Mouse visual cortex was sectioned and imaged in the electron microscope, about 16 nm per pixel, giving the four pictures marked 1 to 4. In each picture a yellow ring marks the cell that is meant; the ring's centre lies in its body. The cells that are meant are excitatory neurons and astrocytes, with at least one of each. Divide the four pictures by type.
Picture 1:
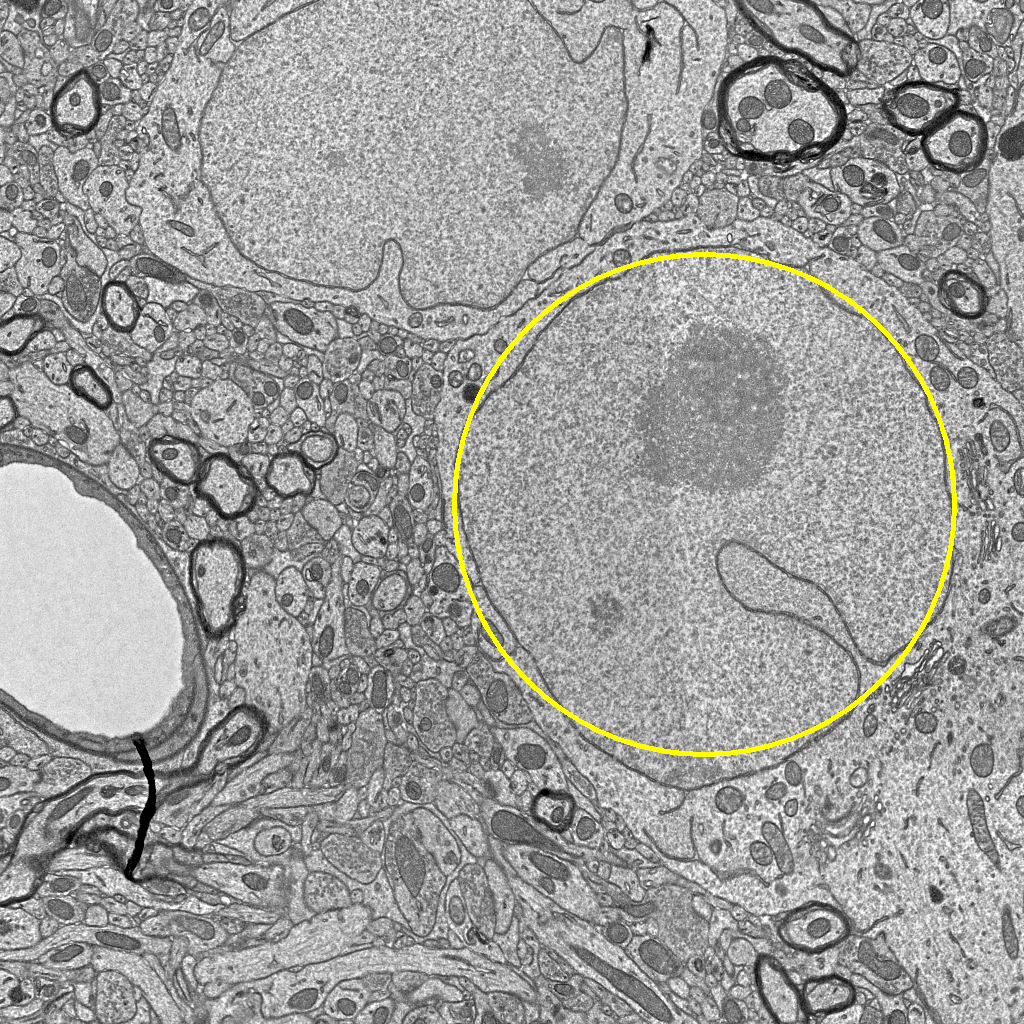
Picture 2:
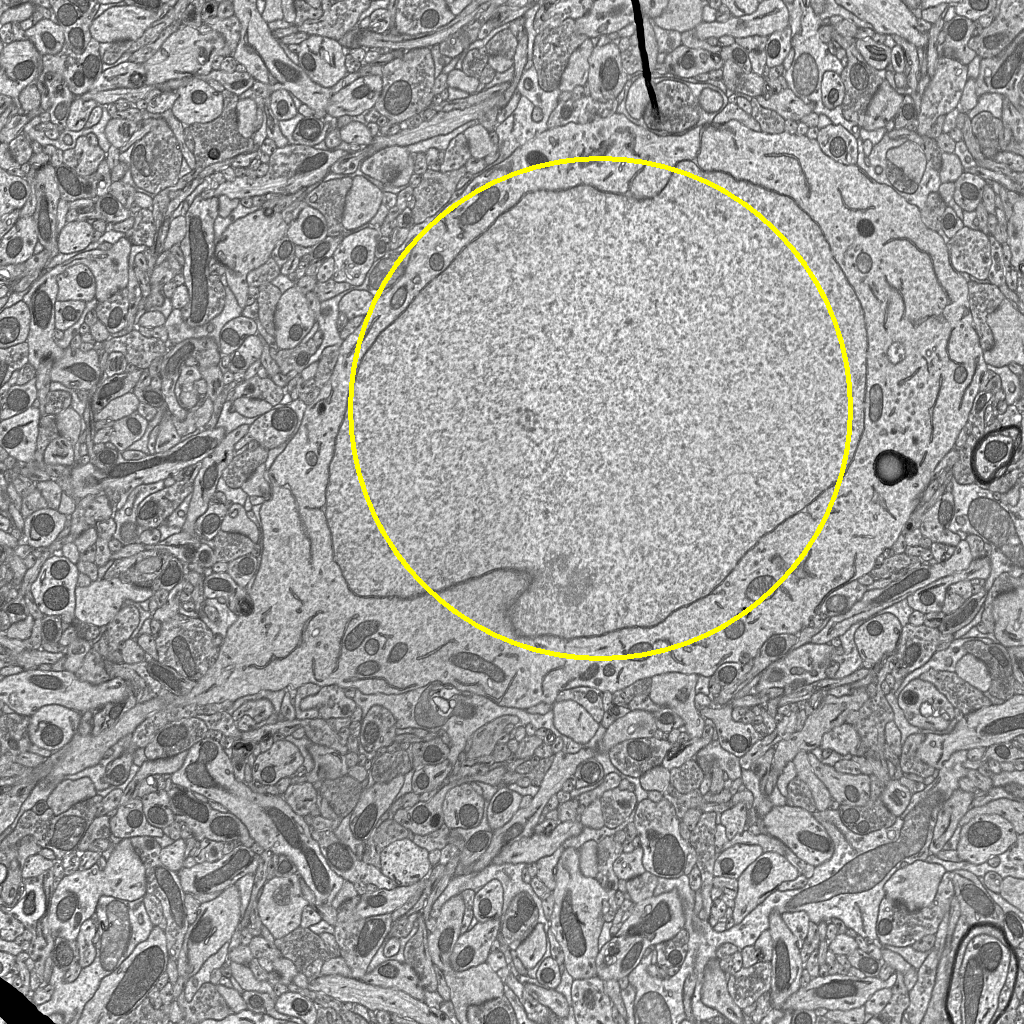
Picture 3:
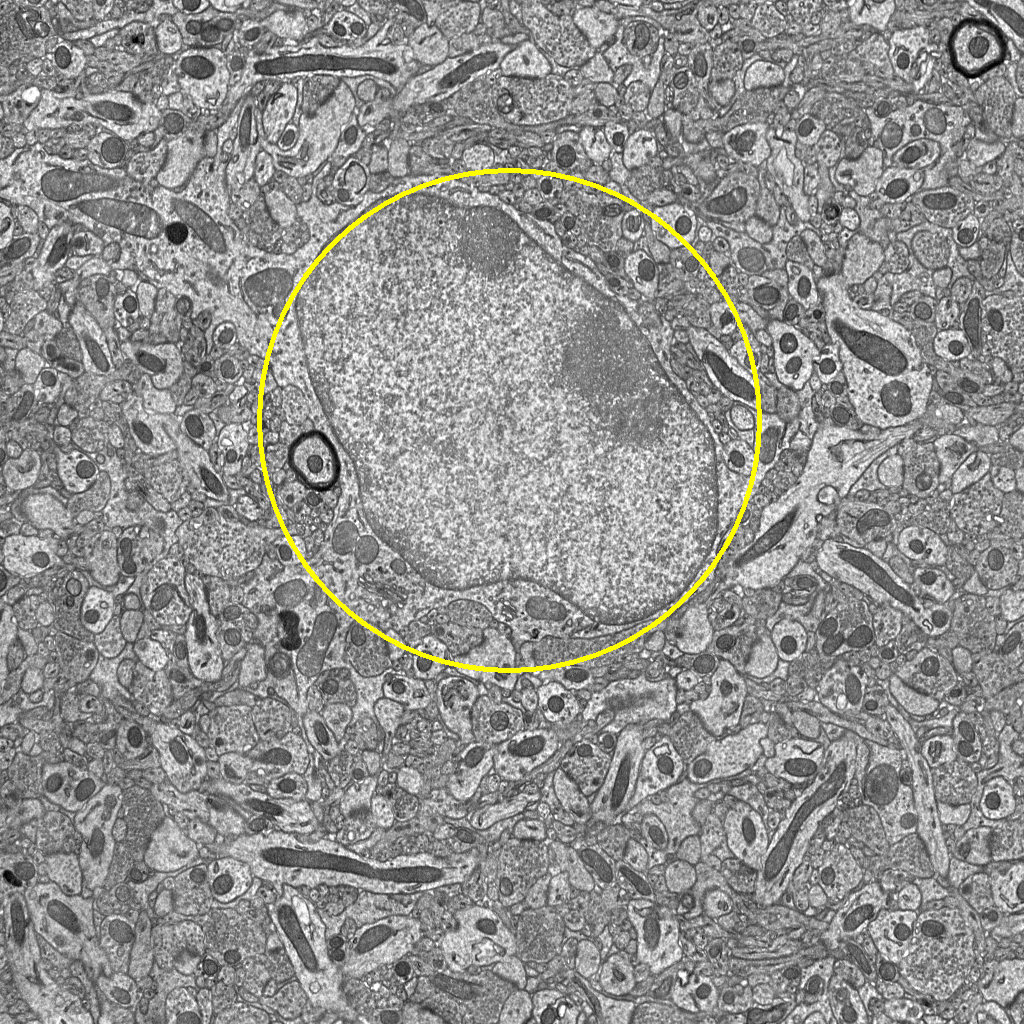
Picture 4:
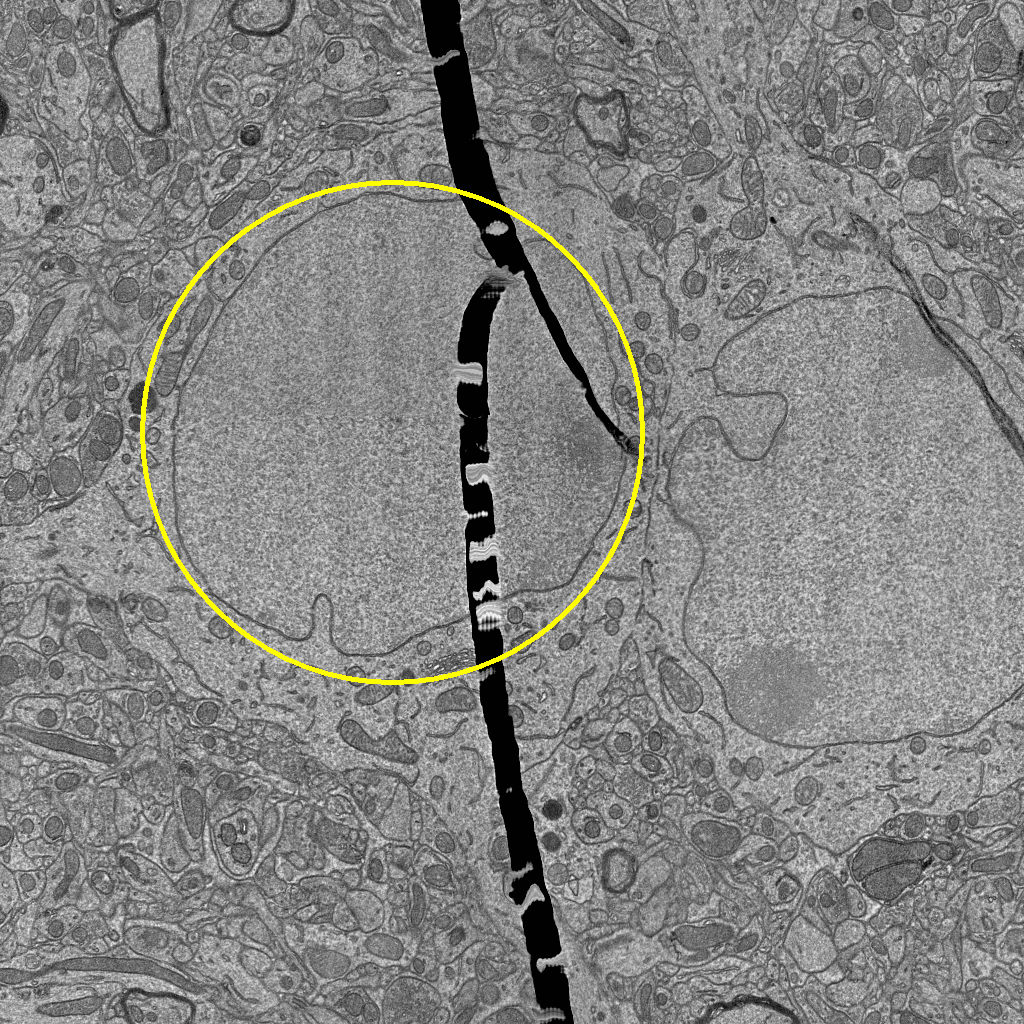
Pictures 1, 2 and 4 show excitatory neurons, and picture 3 shows an astrocyte.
